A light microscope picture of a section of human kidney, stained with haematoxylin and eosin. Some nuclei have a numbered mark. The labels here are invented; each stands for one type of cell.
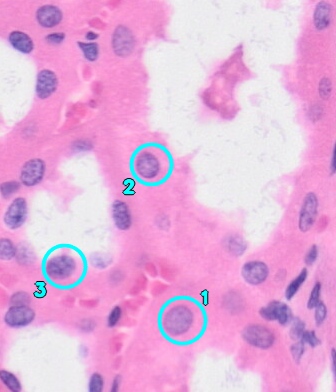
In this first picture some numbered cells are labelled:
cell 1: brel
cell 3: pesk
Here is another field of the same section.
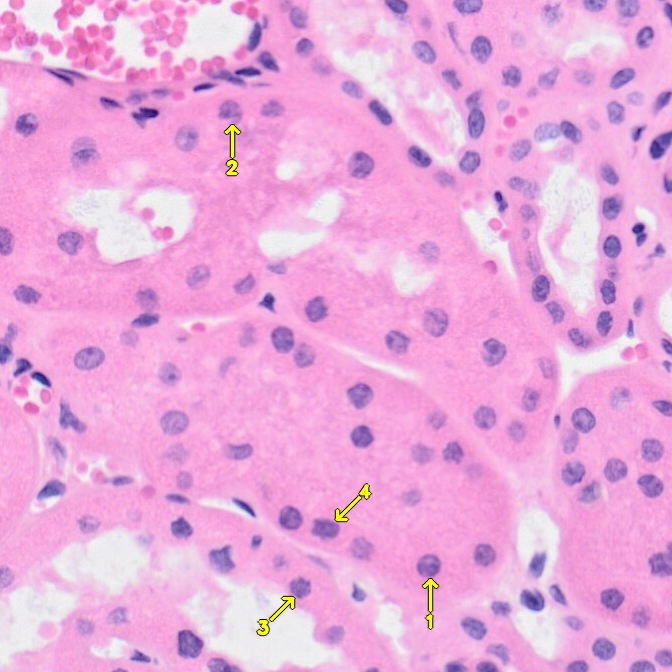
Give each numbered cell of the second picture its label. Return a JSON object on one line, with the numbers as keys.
{"1": "brel", "2": "brel", "3": "pesk", "4": "brel"}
